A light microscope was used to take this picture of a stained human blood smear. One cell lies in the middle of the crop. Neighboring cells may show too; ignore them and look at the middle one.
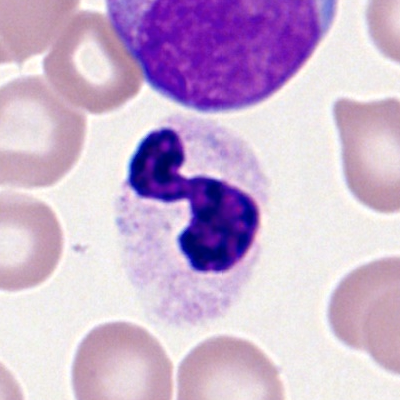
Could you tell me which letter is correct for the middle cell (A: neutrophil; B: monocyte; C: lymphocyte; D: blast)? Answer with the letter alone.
A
